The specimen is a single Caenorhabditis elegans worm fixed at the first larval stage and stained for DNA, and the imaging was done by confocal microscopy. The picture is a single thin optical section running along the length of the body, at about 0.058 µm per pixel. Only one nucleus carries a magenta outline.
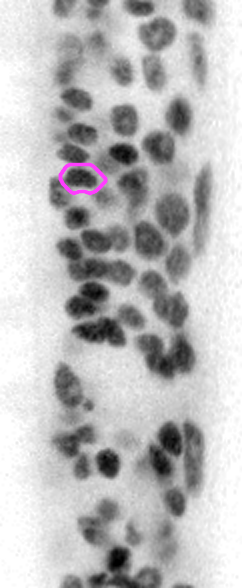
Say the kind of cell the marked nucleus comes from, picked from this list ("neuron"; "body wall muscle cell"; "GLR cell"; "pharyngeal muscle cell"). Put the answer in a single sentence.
The nucleus comes from a neuron.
